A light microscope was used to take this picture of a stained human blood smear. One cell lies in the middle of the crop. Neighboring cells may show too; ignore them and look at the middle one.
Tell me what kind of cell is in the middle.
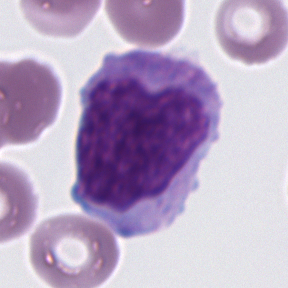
atypical promyelocyte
